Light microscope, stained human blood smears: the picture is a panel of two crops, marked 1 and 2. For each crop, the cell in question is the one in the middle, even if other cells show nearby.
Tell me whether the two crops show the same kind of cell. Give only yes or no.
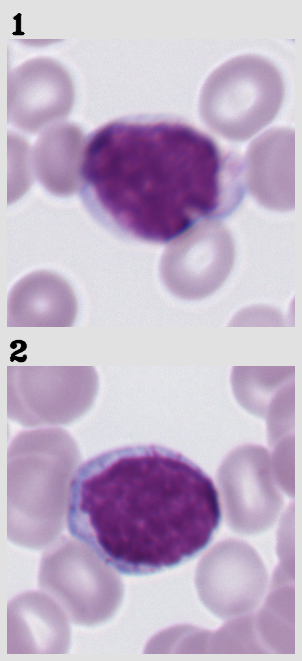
yes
